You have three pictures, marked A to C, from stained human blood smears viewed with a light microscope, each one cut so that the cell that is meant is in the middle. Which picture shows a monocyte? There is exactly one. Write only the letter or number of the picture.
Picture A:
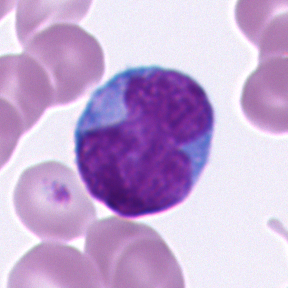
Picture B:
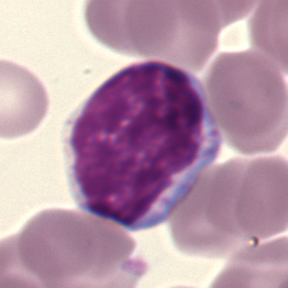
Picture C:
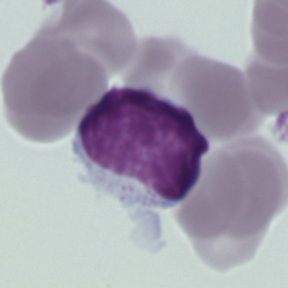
A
